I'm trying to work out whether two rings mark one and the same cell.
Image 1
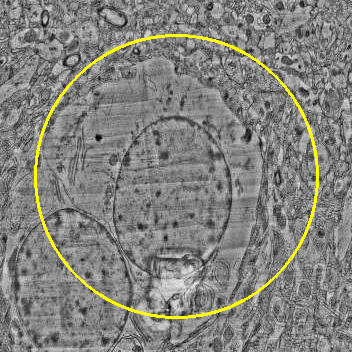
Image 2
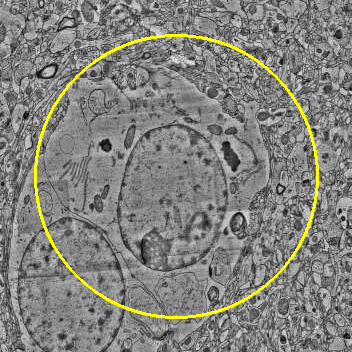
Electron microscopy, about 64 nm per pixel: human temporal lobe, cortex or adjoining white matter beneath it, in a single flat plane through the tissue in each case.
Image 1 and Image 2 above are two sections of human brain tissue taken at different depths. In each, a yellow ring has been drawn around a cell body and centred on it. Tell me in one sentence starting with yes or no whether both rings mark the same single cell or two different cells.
Yes, both rings identify a single, shared cell.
